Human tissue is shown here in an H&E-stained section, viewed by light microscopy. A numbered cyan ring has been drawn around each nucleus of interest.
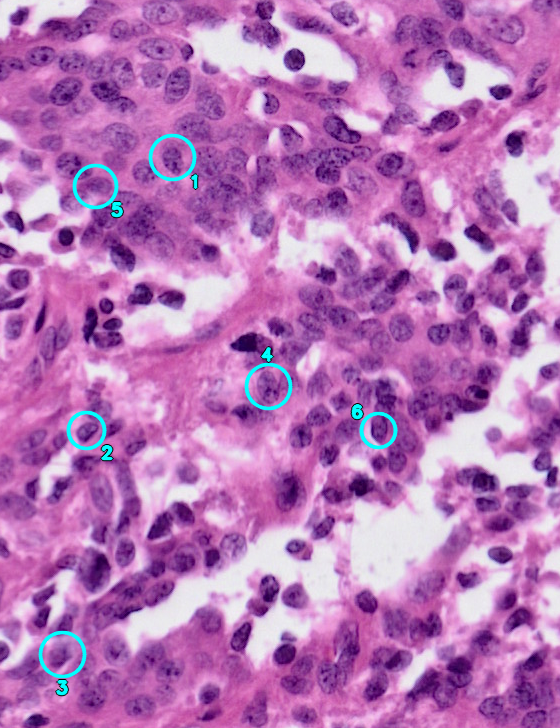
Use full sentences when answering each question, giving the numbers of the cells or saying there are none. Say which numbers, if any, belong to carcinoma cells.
Cells numbered 1, 3, 5 and 6 belong to the group of carcinoma cells.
